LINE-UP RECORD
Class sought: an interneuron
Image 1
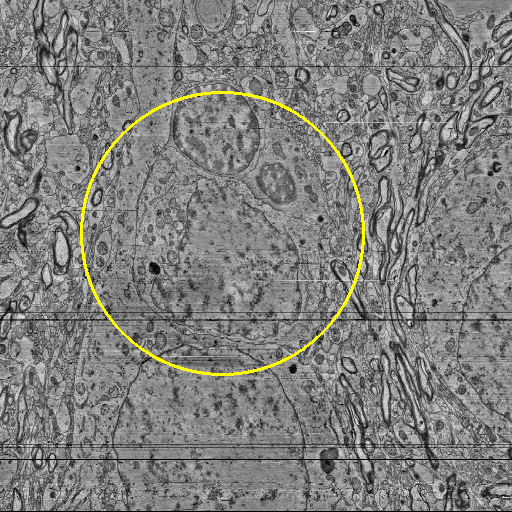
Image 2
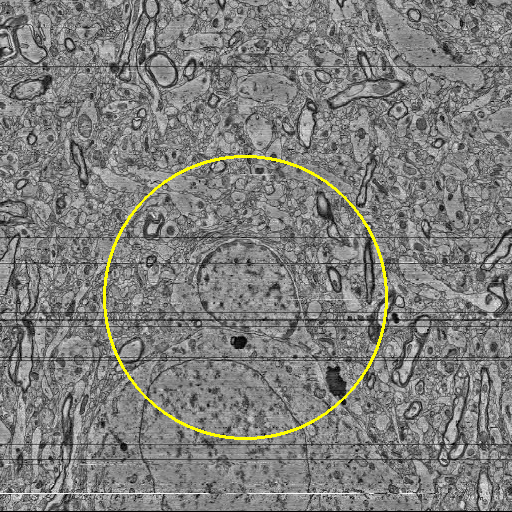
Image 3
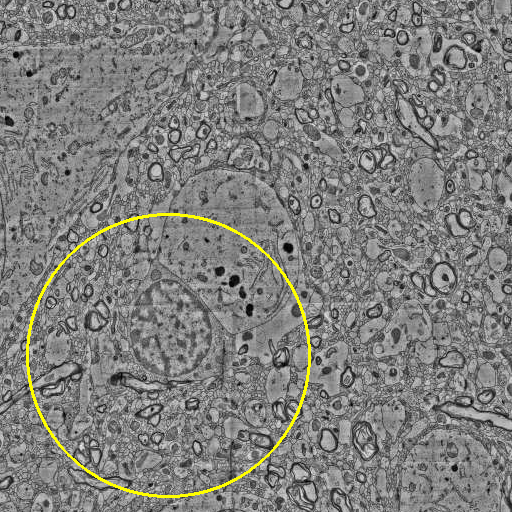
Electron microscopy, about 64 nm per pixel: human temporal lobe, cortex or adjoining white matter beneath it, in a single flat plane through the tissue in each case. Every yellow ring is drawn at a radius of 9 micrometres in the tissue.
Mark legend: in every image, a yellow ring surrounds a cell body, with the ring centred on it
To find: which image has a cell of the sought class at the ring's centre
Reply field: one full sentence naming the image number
The ring-centred cell of image 1 belongs to the class sought.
